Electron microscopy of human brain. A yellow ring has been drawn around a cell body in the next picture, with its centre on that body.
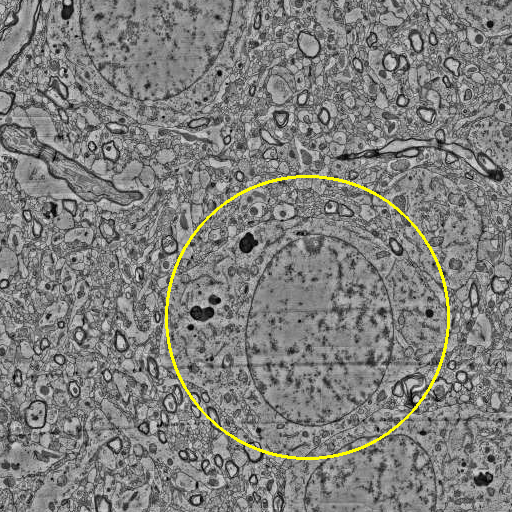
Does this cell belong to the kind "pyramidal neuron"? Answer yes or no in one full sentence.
Yes, the ringed cell in this picture, sitting at the ring's centre, is of that kind.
